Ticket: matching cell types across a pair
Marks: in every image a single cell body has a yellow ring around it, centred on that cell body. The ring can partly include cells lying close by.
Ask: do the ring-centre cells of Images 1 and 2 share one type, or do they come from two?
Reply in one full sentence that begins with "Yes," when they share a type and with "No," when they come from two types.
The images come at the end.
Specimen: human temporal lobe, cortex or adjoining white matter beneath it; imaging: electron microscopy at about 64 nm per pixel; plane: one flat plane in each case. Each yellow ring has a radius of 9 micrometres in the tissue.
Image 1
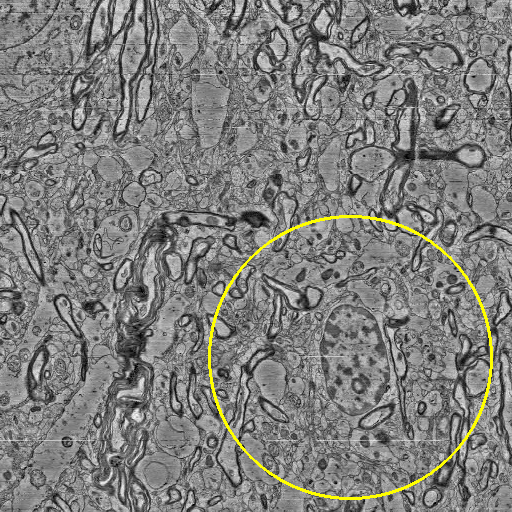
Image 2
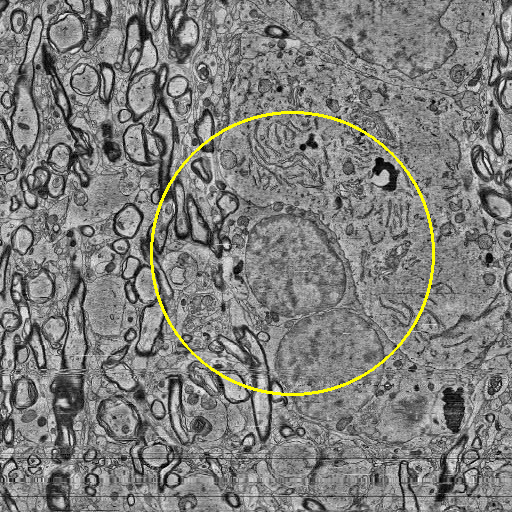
No, the cells in the centres of the rings in Image 1 and Image 2 come from two types.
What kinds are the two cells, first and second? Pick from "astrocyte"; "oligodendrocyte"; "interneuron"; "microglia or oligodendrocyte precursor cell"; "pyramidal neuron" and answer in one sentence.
The second picture holds an oligodendrocyte in its ring, and the first holds a microglial cell or oligodendrocyte precursor cell.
